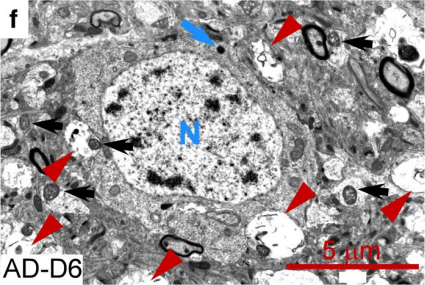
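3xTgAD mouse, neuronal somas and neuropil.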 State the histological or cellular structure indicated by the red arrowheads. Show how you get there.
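Large clear membrane-bound spaces around the cell contain scattered membranous and dense debris. That points to this answer: large vesicles filled with heterogenous material.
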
